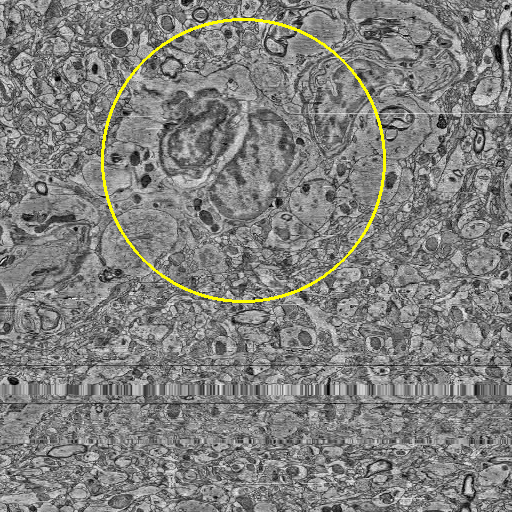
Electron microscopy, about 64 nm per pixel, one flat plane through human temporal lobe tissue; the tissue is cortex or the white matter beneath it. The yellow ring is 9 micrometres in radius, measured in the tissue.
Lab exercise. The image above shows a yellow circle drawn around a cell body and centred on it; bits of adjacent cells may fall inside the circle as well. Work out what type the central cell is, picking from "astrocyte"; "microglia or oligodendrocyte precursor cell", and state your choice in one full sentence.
In the image above, the cell at the centre of the yellow circle is a microglial cell or oligodendrocyte precursor cell.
